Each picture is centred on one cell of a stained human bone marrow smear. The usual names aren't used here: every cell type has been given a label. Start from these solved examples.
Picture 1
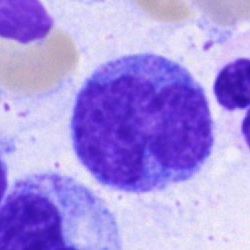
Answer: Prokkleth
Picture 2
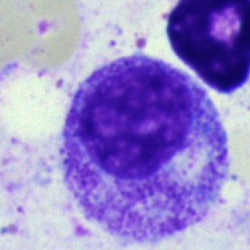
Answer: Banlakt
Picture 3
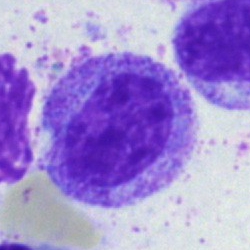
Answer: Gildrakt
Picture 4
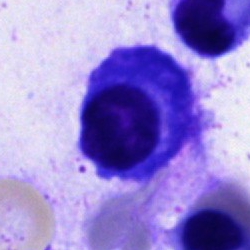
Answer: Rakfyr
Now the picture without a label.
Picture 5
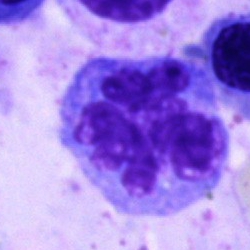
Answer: Prokkleth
